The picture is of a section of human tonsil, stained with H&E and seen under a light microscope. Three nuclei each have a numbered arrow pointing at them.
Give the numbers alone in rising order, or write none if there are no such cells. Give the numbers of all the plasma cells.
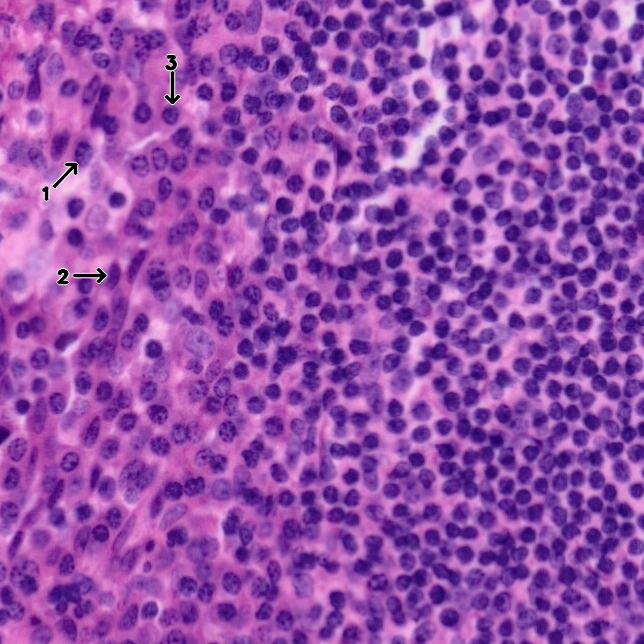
1, 3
